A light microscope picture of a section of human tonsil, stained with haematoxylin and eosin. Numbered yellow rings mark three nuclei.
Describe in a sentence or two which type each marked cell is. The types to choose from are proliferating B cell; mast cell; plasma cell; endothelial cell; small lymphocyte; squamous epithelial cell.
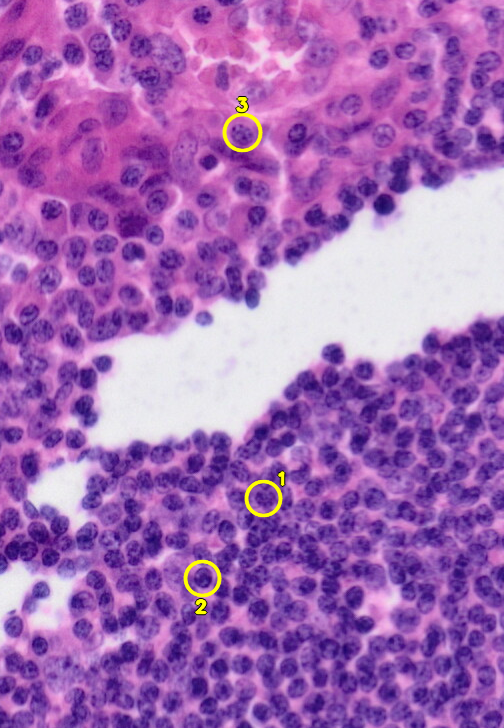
Cells 1 and 2 are small lymphocytes. Cell 3 is a plasma cell.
